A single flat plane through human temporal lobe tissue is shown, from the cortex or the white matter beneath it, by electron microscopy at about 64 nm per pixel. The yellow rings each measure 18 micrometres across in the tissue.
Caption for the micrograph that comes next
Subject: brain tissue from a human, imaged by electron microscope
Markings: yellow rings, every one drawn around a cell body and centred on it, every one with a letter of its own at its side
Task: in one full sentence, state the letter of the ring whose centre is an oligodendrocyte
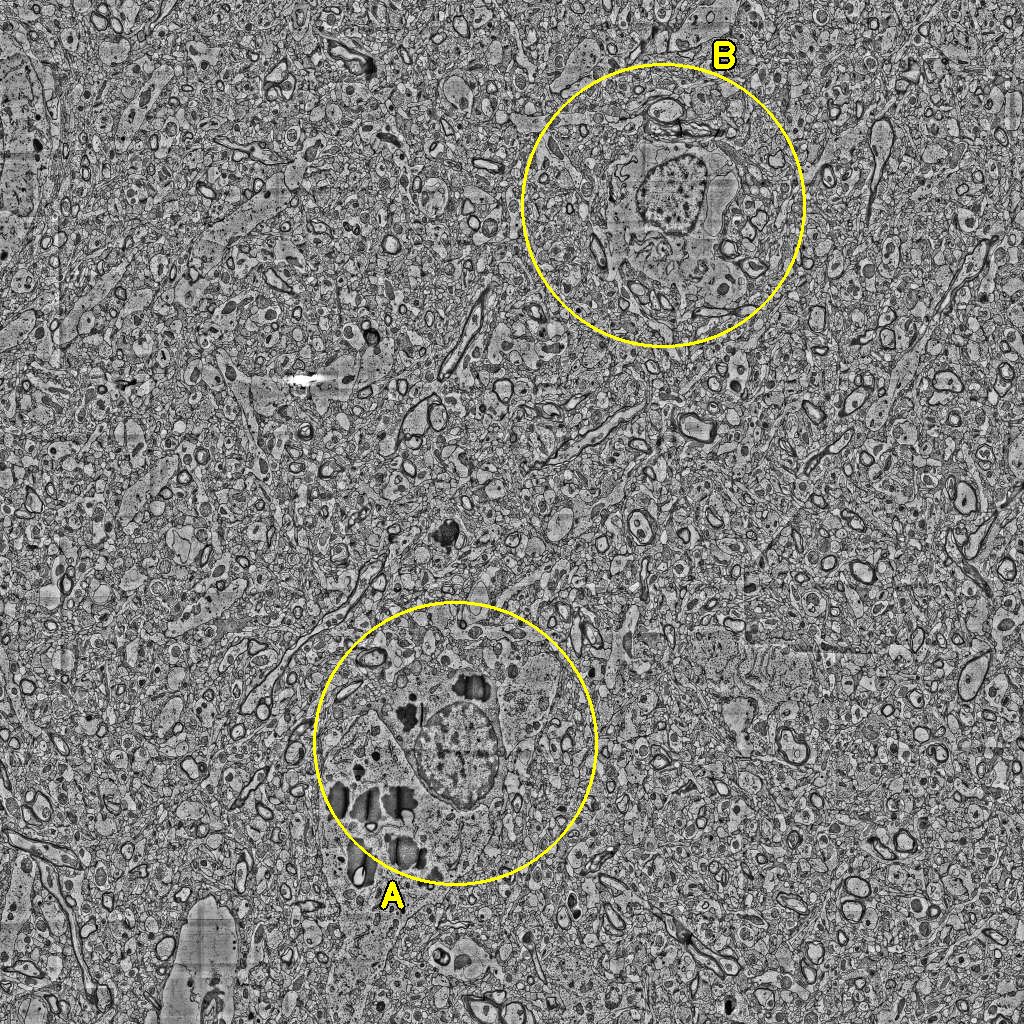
The ring centred on the cell asked for in this micrograph carries the letter A.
